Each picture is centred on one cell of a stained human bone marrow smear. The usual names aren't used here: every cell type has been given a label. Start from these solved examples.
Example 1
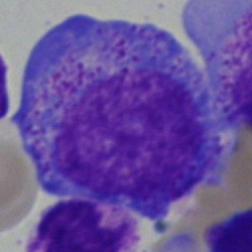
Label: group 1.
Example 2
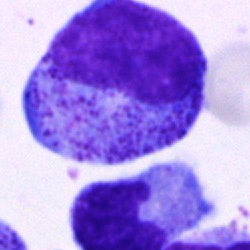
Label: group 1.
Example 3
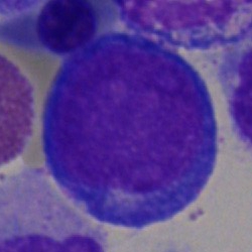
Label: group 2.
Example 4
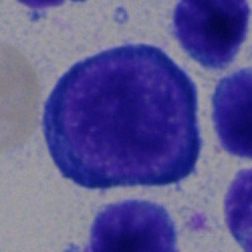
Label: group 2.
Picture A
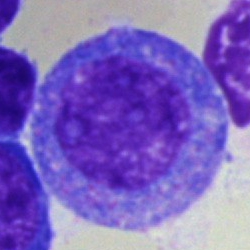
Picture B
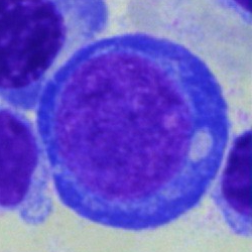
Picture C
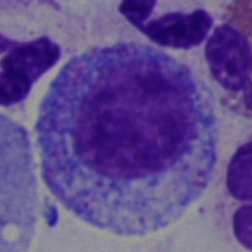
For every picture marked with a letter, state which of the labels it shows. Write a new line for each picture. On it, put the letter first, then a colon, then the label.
A: group 1.
B: group 2.
C: group 1.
